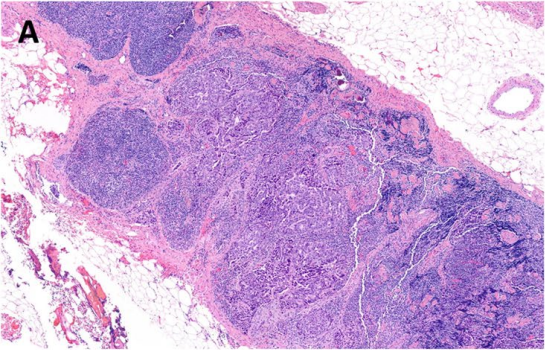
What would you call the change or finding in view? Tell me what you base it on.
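Large pink-purple tumor nests replace part of the lymphoid tissue. Dark lymphoid areas remain at the edges of the node.
Conclusion: macro-metastasis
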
